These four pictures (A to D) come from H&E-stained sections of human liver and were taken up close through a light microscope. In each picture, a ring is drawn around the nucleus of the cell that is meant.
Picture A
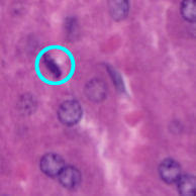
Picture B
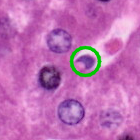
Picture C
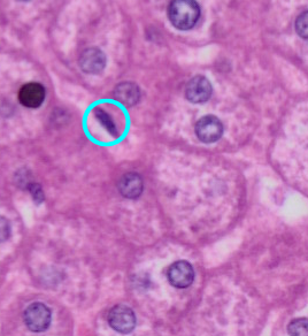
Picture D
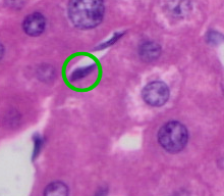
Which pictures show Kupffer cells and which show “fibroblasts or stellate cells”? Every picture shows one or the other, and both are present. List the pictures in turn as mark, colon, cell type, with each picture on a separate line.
A: fibroblast or stellate cell
B: Kupffer cell
C: Kupffer cell
D: fibroblast or stellate cell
